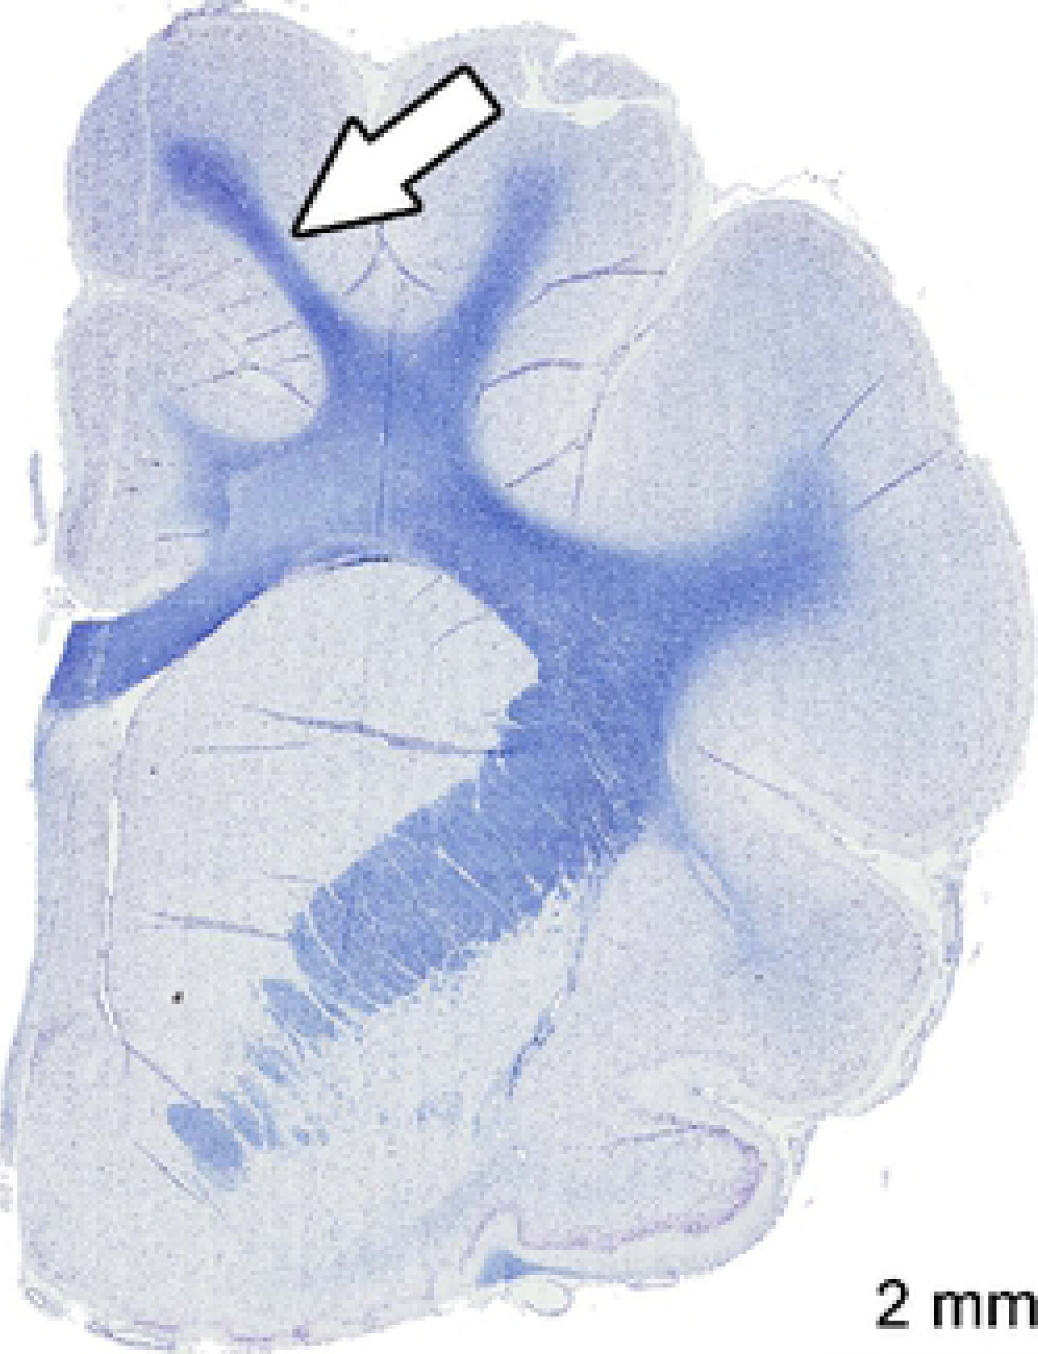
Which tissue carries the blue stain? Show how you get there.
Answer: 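Dense blue stain fills branching cores beneath the gyri. The surrounding cortex is only faintly stained. On this evidence: white matter.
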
